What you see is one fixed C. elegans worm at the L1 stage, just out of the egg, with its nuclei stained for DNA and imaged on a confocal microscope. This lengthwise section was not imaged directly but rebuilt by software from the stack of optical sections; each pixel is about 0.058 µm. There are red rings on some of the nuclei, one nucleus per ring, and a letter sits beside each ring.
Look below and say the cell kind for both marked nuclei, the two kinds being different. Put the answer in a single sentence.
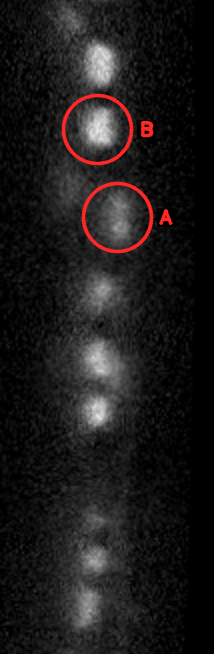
Nucleus A comes from a body wall muscle cell and nucleus B from a neuron.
